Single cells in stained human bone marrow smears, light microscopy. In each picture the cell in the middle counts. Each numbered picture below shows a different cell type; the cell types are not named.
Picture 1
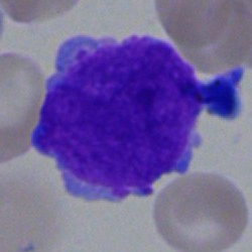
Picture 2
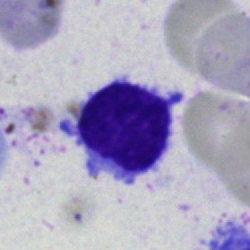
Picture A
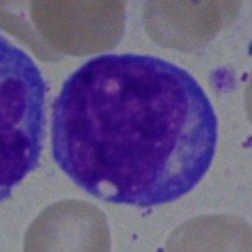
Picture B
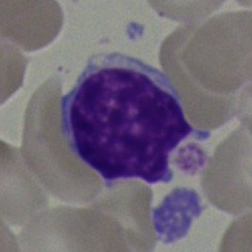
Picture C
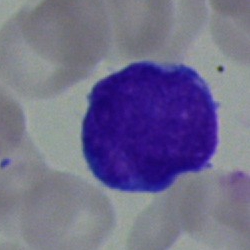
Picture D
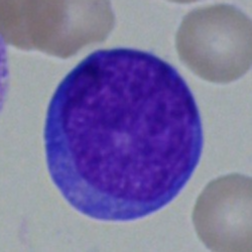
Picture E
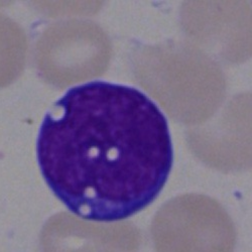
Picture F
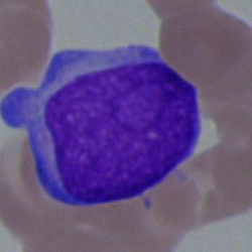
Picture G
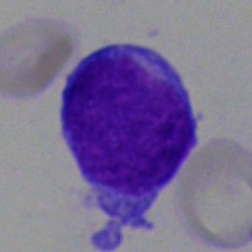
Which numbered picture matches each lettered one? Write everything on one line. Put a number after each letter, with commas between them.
A 1, B 2, C 1, D 1, E 1, F 1, G 1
